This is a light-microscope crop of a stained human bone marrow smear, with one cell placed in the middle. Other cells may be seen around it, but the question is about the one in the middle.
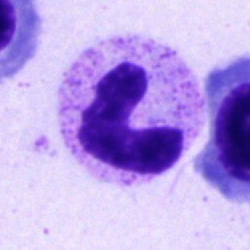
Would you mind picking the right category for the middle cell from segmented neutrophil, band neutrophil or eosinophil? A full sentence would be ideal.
Among the cells in view, the one in the middle is a band neutrophil.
